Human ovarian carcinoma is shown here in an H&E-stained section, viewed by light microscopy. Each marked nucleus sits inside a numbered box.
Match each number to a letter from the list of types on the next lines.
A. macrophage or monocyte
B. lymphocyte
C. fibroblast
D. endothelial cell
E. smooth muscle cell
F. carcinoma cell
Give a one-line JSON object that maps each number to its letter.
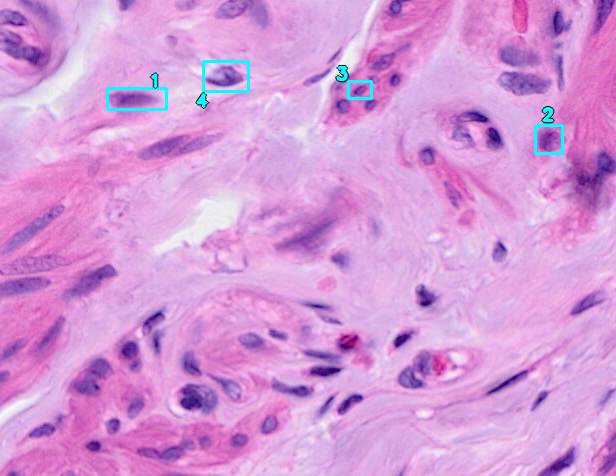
{"1": "E", "2": "E", "3": "E", "4": "C"}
